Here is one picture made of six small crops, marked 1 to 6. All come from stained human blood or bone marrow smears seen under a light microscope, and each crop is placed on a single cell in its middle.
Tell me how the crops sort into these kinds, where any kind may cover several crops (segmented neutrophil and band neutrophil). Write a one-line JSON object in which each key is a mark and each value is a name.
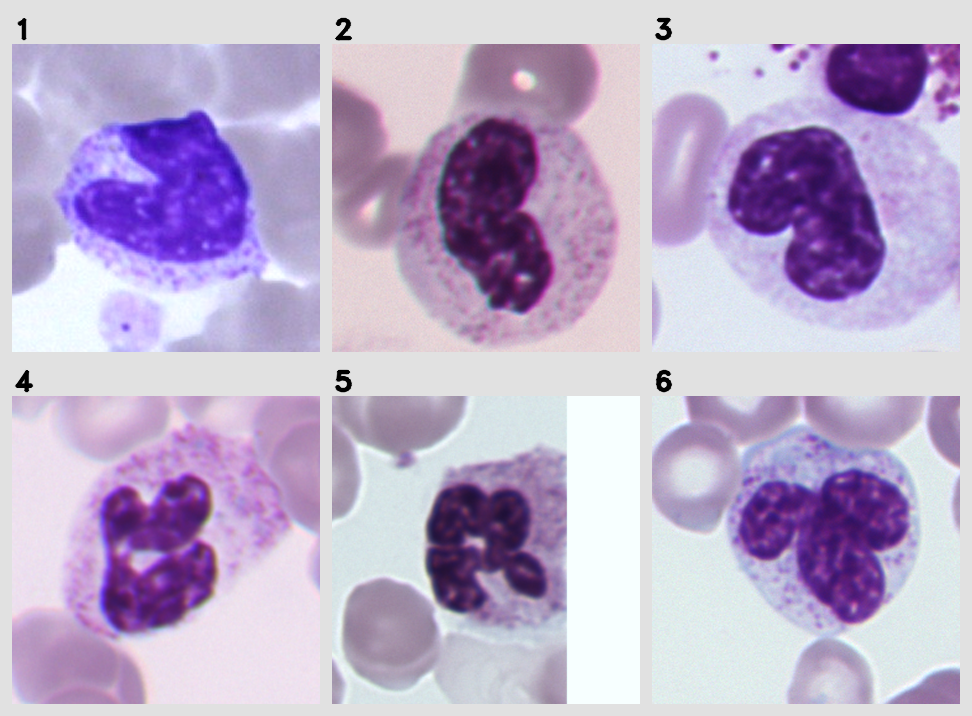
{"1": "band neutrophil", "2": "band neutrophil", "3": "band neutrophil", "4": "segmented neutrophil", "5": "segmented neutrophil", "6": "segmented neutrophil"}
